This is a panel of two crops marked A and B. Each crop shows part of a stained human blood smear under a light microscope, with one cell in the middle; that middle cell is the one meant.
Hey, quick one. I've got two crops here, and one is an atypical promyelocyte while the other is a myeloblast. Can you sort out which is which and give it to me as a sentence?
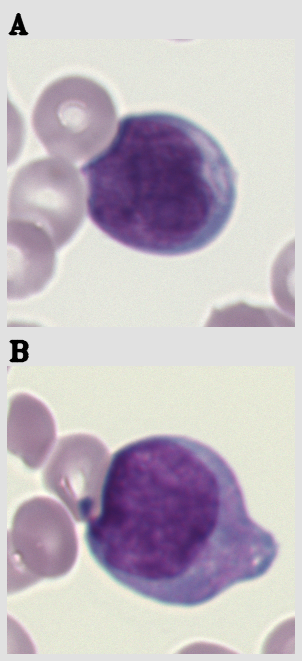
In crop A, a myeloblast is present; in crop B, an atypical promyelocyte is present.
